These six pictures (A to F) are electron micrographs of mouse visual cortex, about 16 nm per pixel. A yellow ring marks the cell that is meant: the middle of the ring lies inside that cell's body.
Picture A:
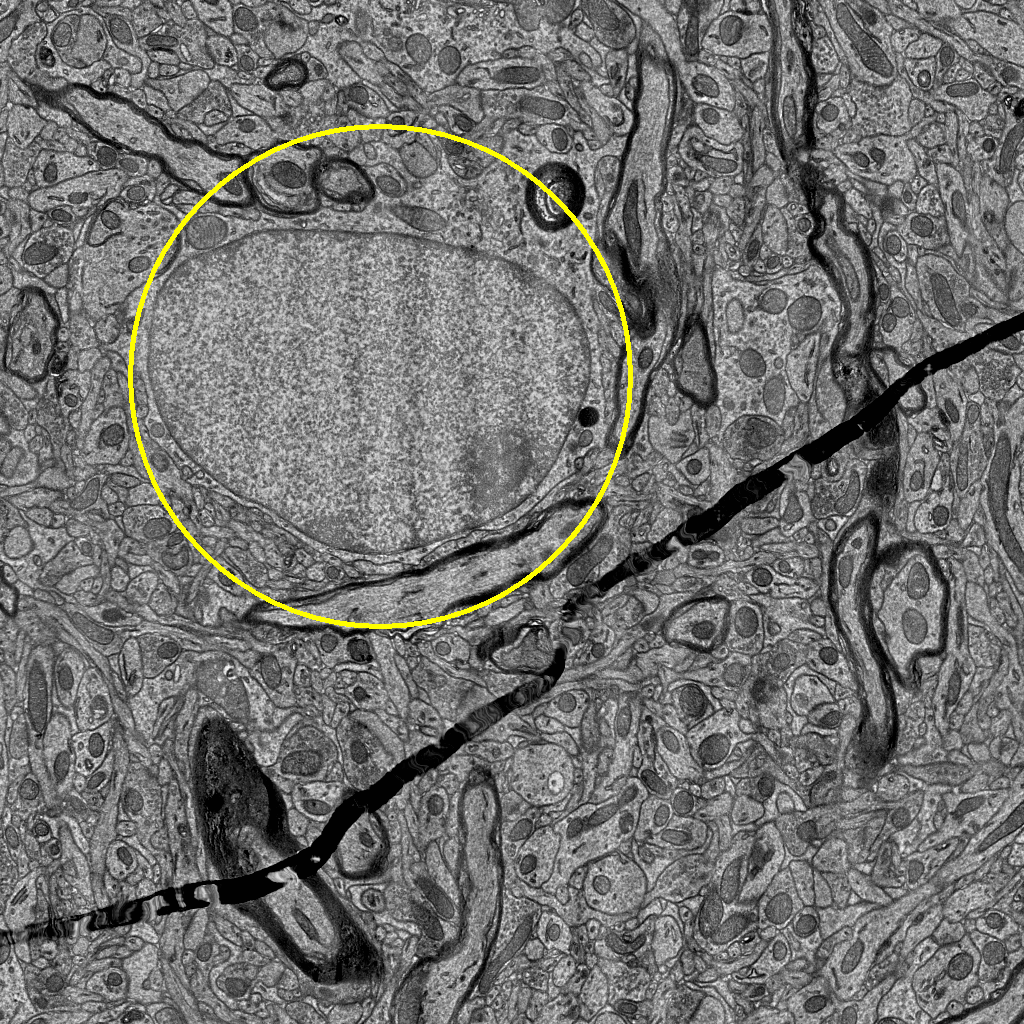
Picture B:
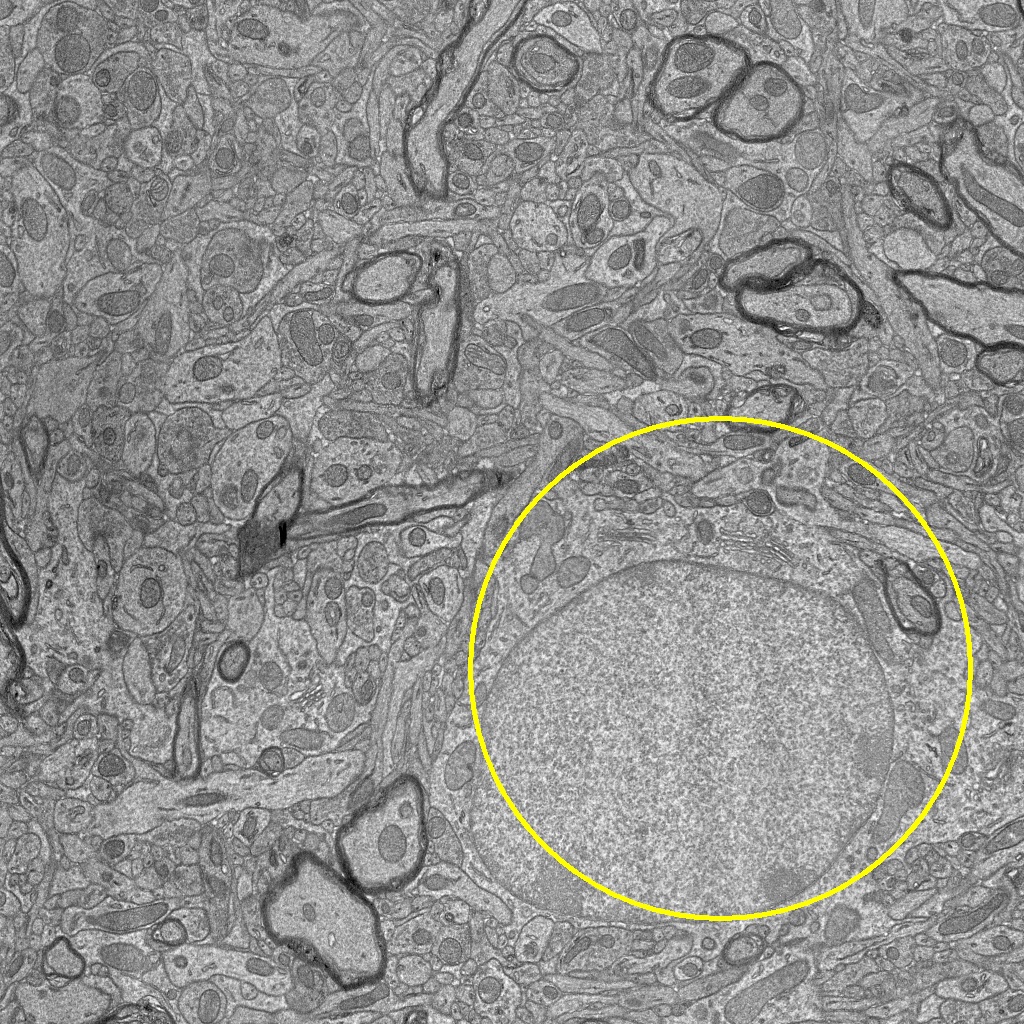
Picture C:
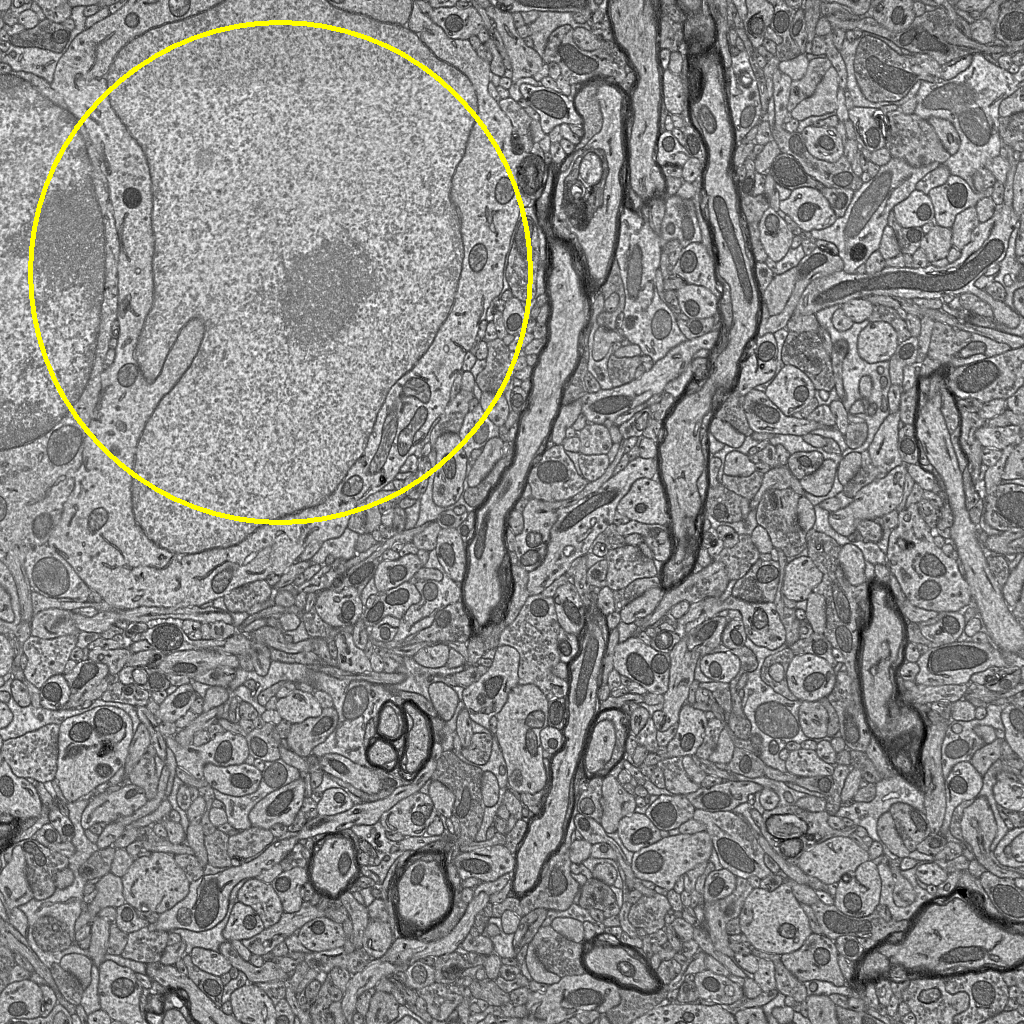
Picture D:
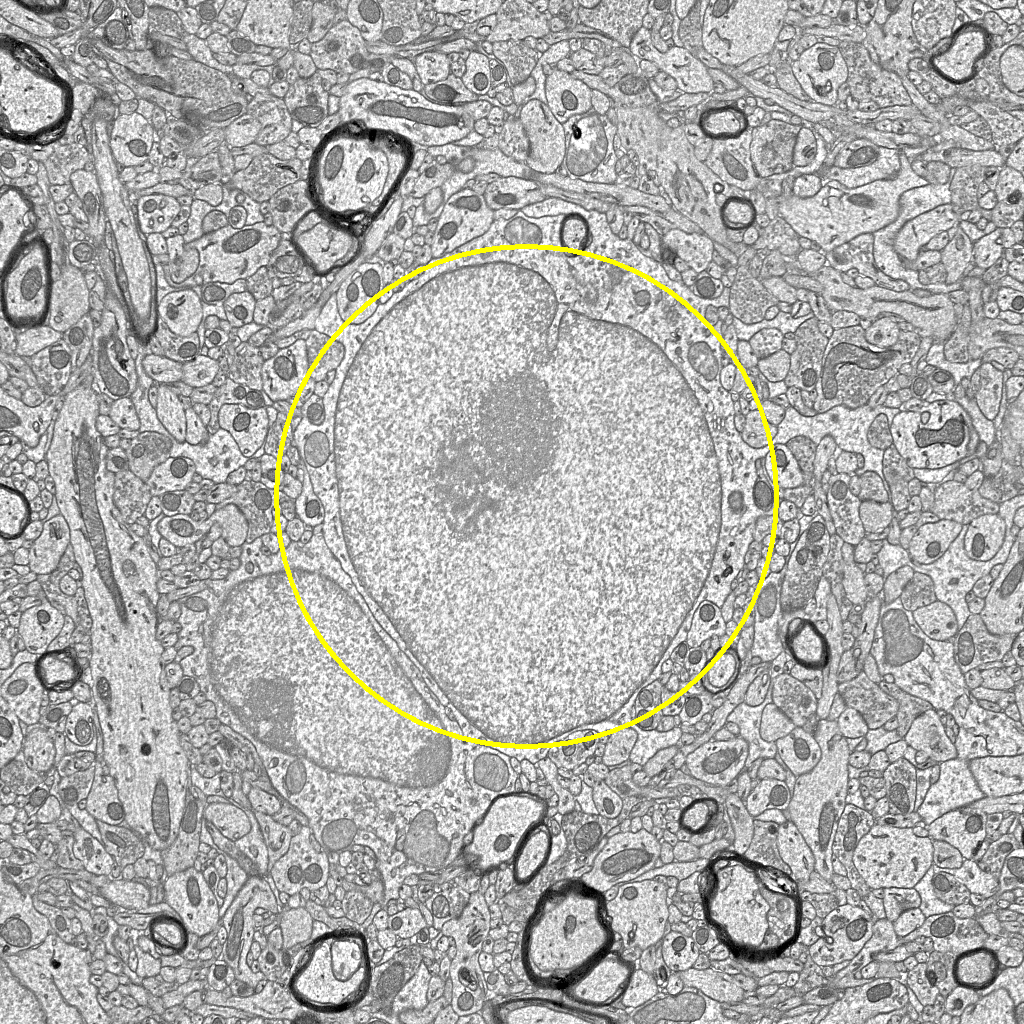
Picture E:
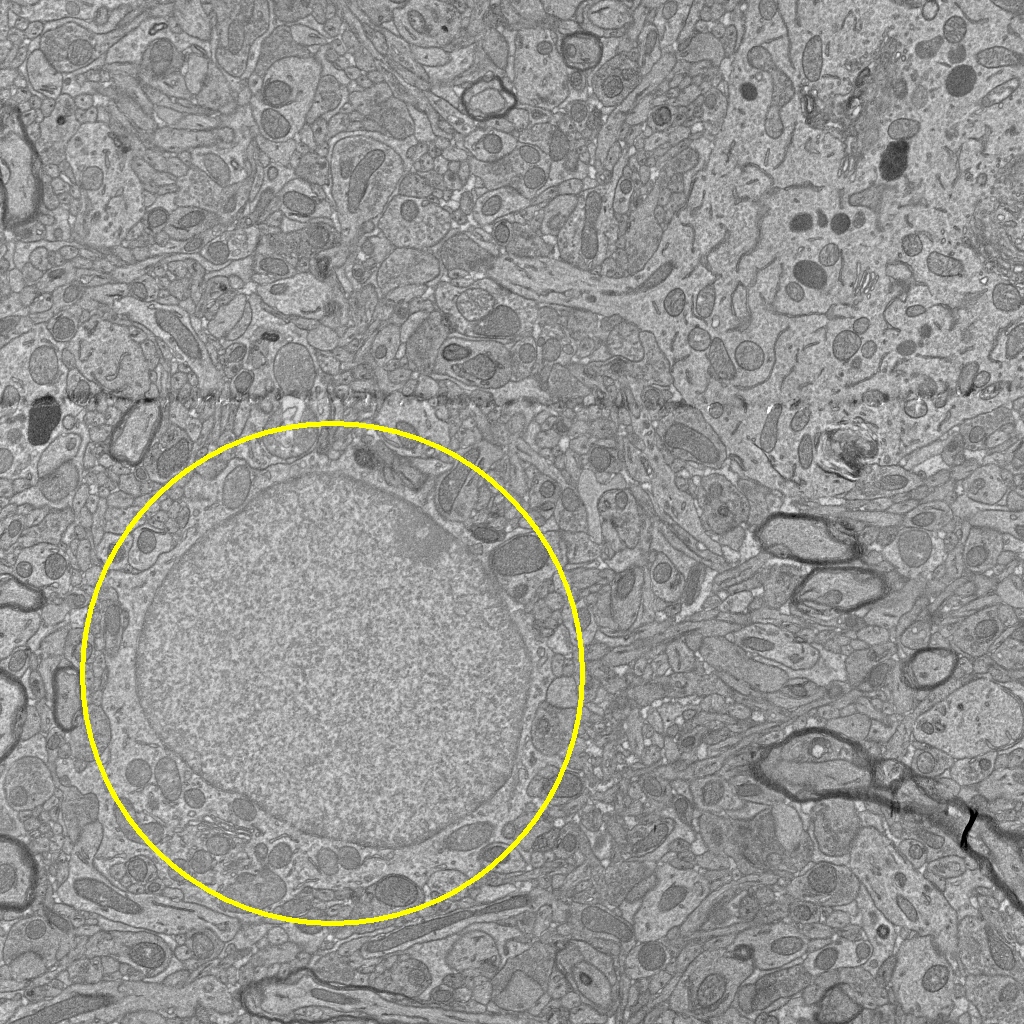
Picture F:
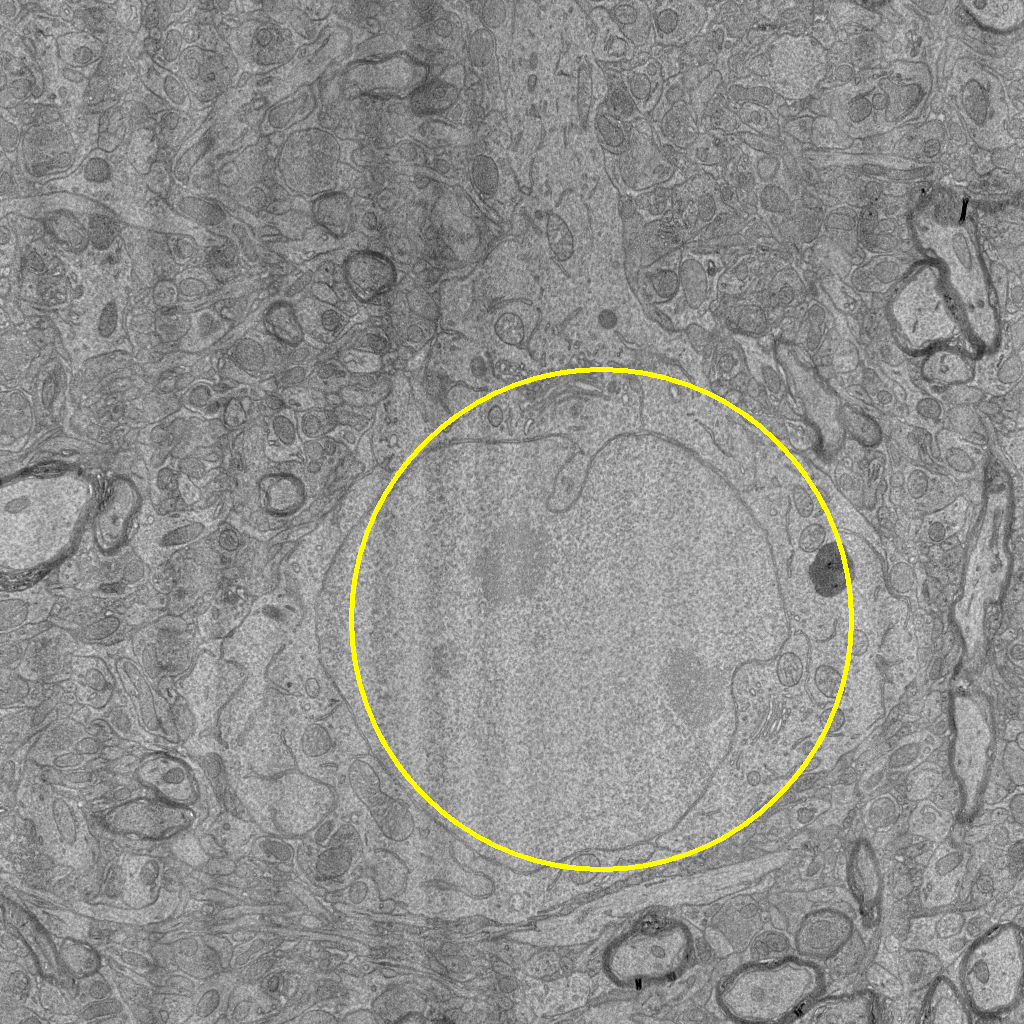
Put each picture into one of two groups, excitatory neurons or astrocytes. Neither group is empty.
Pictures C and F show excitatory neurons, and pictures A, B, D and E show astrocytes.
